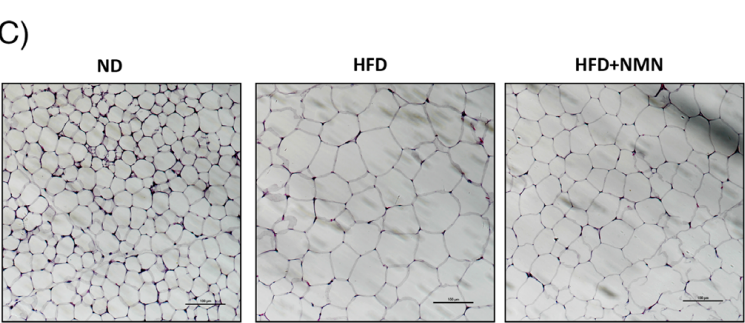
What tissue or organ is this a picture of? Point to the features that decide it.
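Sheets of closely packed, clear, vacuole-like cells separated only by thin septa. Almost no other tissue lies between the cells. That points to this answer: fat tissue.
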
